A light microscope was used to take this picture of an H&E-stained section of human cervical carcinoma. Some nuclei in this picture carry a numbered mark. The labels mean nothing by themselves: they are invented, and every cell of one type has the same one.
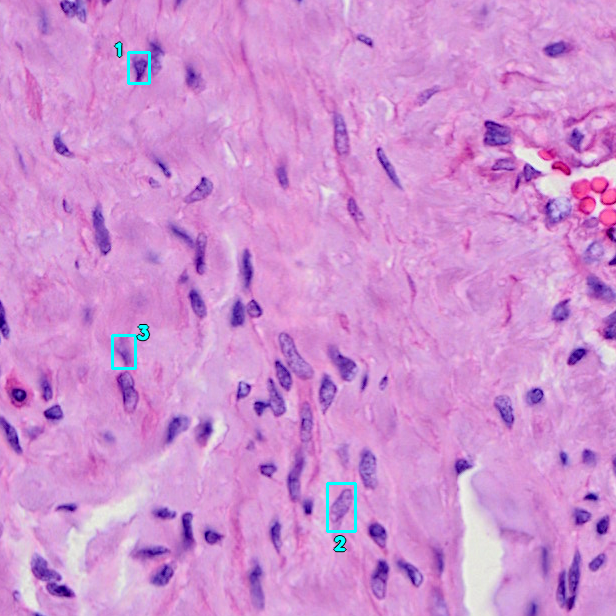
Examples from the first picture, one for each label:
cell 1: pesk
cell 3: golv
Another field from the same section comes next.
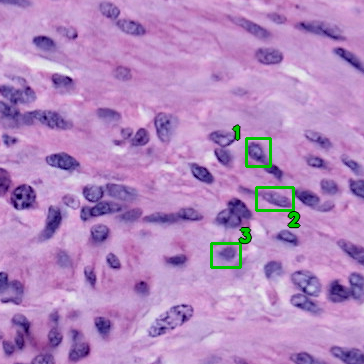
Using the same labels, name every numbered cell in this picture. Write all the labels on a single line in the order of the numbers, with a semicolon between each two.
golv; golv; pesk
